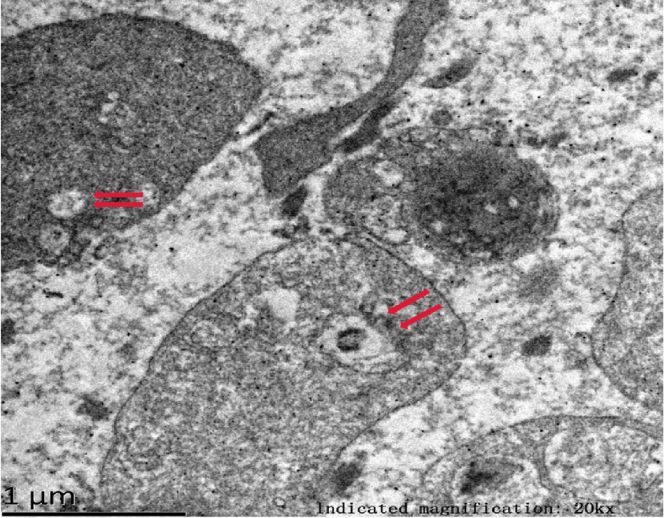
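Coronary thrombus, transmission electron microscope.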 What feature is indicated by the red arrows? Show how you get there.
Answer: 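Vesicle-like material. The red arrows point to small round, membrane-bound profiles with pale centres. These profiles are a fraction of the 1 μm scale bar across. They lie within larger membrane-bound granular bodies.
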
